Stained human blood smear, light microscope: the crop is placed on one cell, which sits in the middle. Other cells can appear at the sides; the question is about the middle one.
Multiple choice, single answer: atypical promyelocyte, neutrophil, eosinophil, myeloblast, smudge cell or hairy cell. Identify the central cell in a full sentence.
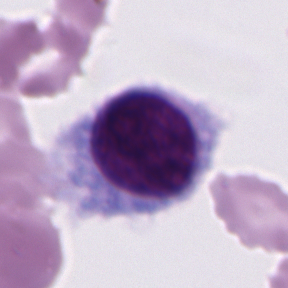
Here the centrally located cell is a hairy cell.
